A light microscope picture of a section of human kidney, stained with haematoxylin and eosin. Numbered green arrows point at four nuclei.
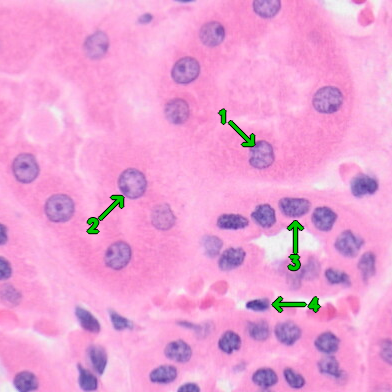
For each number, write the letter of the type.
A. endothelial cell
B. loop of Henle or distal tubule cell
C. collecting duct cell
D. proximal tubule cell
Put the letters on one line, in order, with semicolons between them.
D; D; C; A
